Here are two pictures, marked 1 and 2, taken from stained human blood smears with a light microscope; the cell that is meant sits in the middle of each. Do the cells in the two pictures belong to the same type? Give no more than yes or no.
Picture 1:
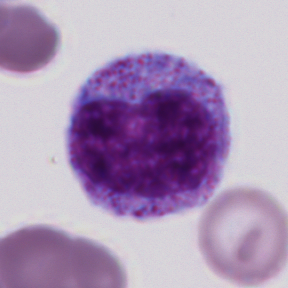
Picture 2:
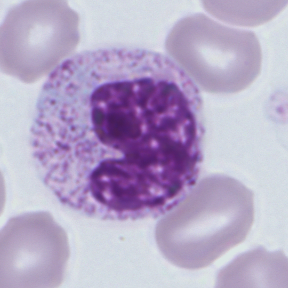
no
